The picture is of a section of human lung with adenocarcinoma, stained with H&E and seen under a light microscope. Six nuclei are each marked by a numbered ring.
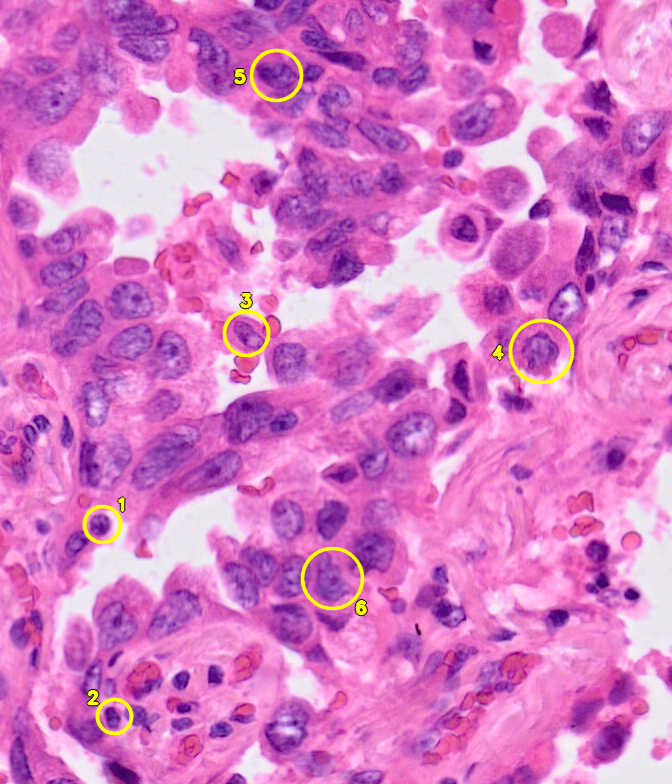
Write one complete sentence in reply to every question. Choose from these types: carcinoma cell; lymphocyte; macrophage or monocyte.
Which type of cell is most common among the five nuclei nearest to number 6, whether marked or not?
Carcinoma cells make up most of the five nuclei closest to number 6.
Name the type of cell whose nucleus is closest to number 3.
It is a carcinoma cell whose nucleus is nearest to number 3.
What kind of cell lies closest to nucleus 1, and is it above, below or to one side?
The closest nucleus belongs to a macrophage or monocyte and sits below and to the left of nucleus 1.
